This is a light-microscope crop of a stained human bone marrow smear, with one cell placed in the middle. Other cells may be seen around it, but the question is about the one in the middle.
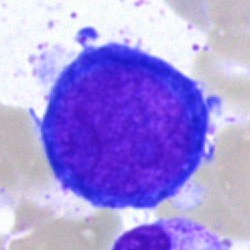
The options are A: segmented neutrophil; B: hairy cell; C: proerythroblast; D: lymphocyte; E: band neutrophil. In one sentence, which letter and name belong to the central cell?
The cell placed in the middle is a proerythroblast; option C is correct.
